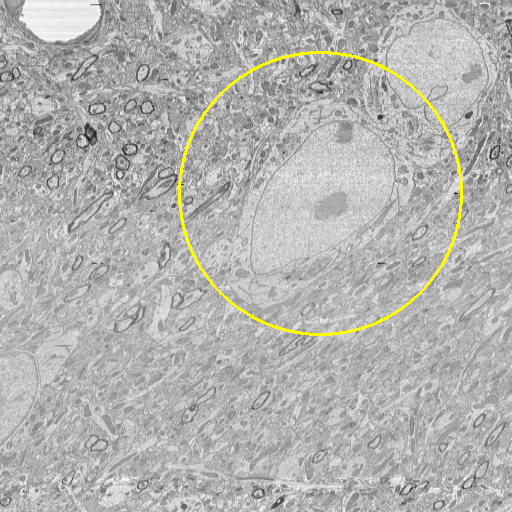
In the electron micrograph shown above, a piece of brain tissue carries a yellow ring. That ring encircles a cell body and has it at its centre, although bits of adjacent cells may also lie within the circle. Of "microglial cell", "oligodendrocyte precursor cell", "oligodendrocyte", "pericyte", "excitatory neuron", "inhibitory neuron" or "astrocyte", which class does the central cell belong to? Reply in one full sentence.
The cell body at the centre of the yellow ring belongs to an excitatory neuron.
